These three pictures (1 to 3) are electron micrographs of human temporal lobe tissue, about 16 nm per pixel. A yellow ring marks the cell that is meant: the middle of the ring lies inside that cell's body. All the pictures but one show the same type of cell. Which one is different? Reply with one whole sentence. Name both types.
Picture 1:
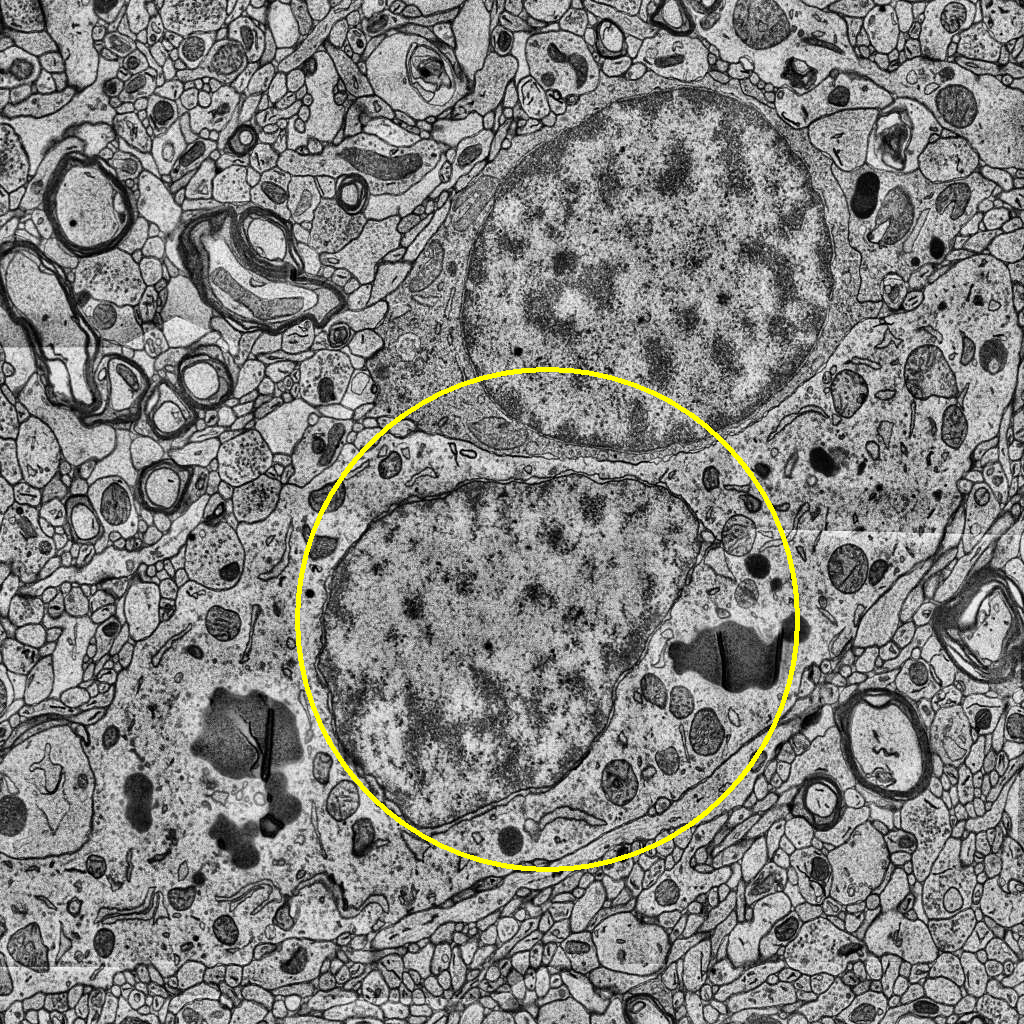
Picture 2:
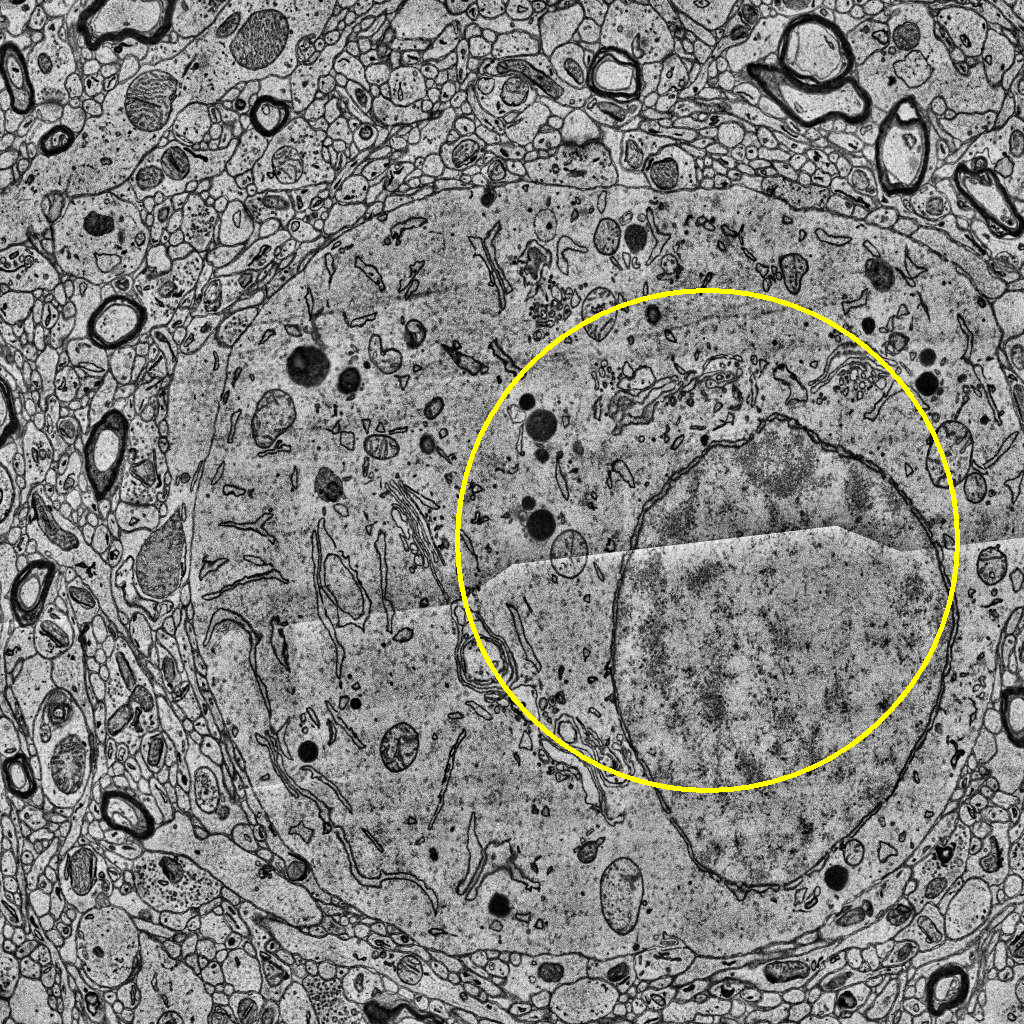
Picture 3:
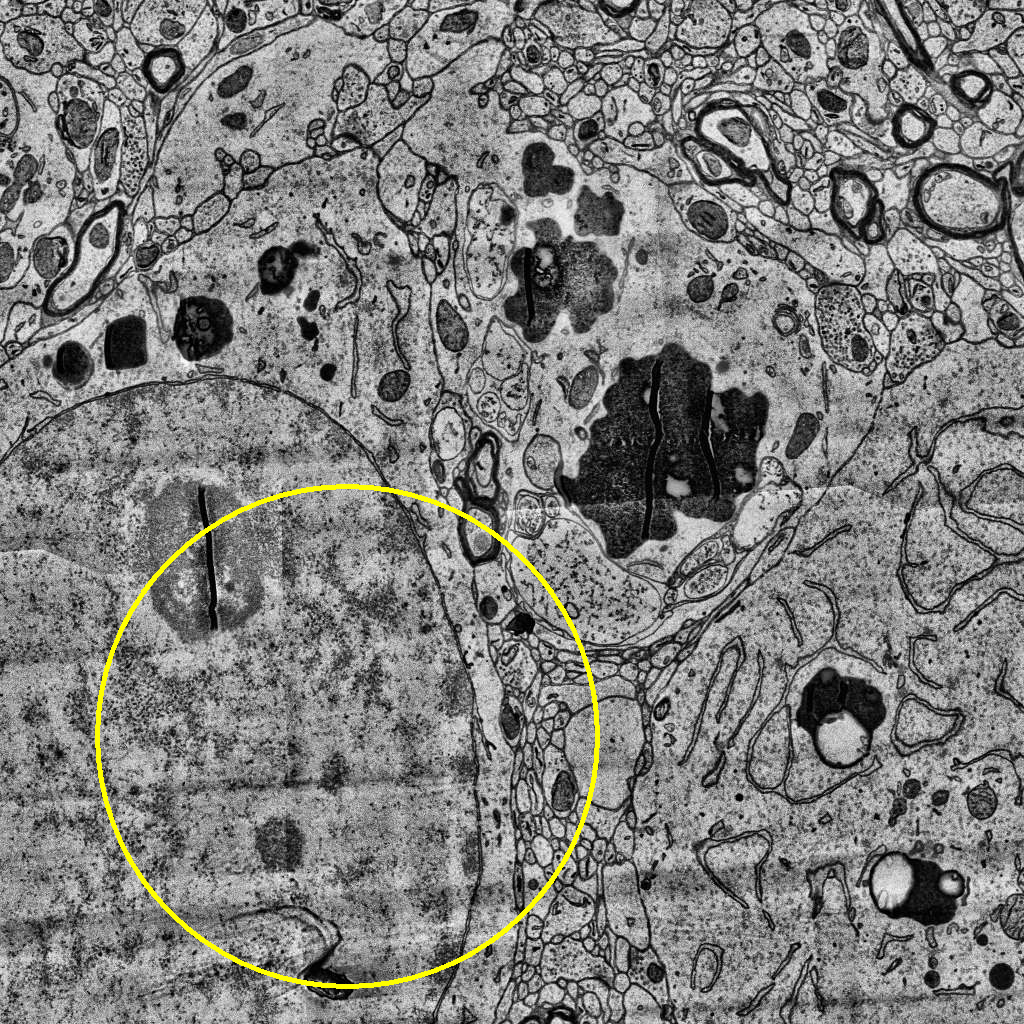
The different one is picture 1; it shows an interneuron, whereas all the others show pyramidal neurons.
